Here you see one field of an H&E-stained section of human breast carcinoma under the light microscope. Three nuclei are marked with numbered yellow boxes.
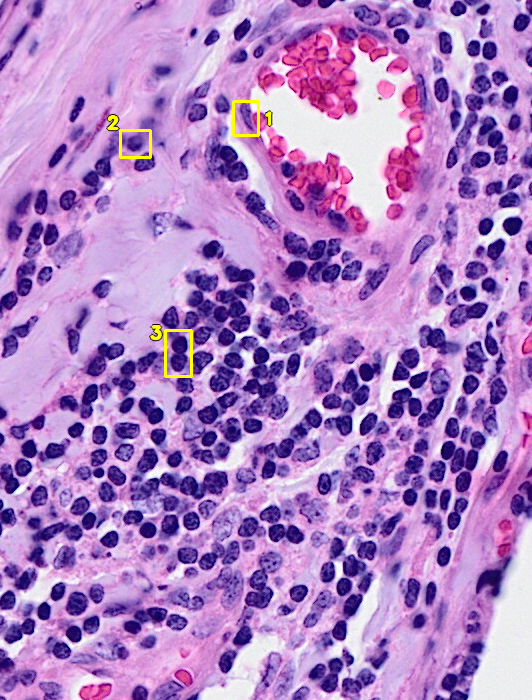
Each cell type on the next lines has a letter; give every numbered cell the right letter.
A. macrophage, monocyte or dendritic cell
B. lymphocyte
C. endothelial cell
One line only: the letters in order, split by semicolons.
C; B; B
